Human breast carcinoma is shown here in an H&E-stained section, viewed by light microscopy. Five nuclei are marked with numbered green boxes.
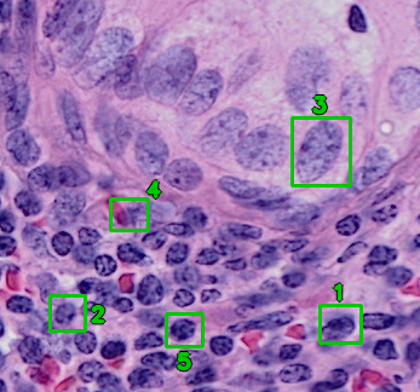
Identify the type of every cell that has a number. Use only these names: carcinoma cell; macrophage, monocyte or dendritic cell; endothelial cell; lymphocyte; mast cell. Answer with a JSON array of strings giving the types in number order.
["lymphocyte", "lymphocyte", "carcinoma cell", "endothelial cell", "lymphocyte"]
